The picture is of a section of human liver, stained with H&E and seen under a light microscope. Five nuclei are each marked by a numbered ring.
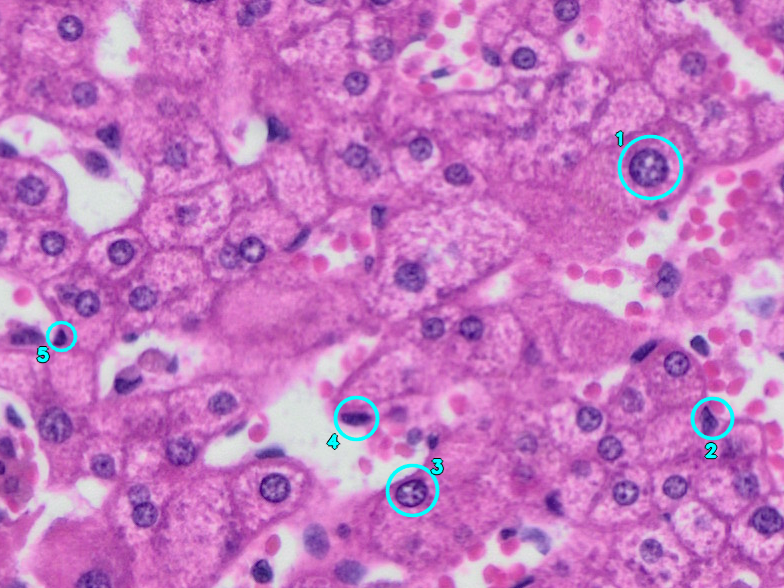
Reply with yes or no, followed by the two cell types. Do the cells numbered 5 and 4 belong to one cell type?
Yes, cells 5 and 4 are both termed fibroblasts or stellate cells.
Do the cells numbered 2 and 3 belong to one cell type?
No, as for cell 2, it is an endothelial cell, and cell 3 is a hepatocyte.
